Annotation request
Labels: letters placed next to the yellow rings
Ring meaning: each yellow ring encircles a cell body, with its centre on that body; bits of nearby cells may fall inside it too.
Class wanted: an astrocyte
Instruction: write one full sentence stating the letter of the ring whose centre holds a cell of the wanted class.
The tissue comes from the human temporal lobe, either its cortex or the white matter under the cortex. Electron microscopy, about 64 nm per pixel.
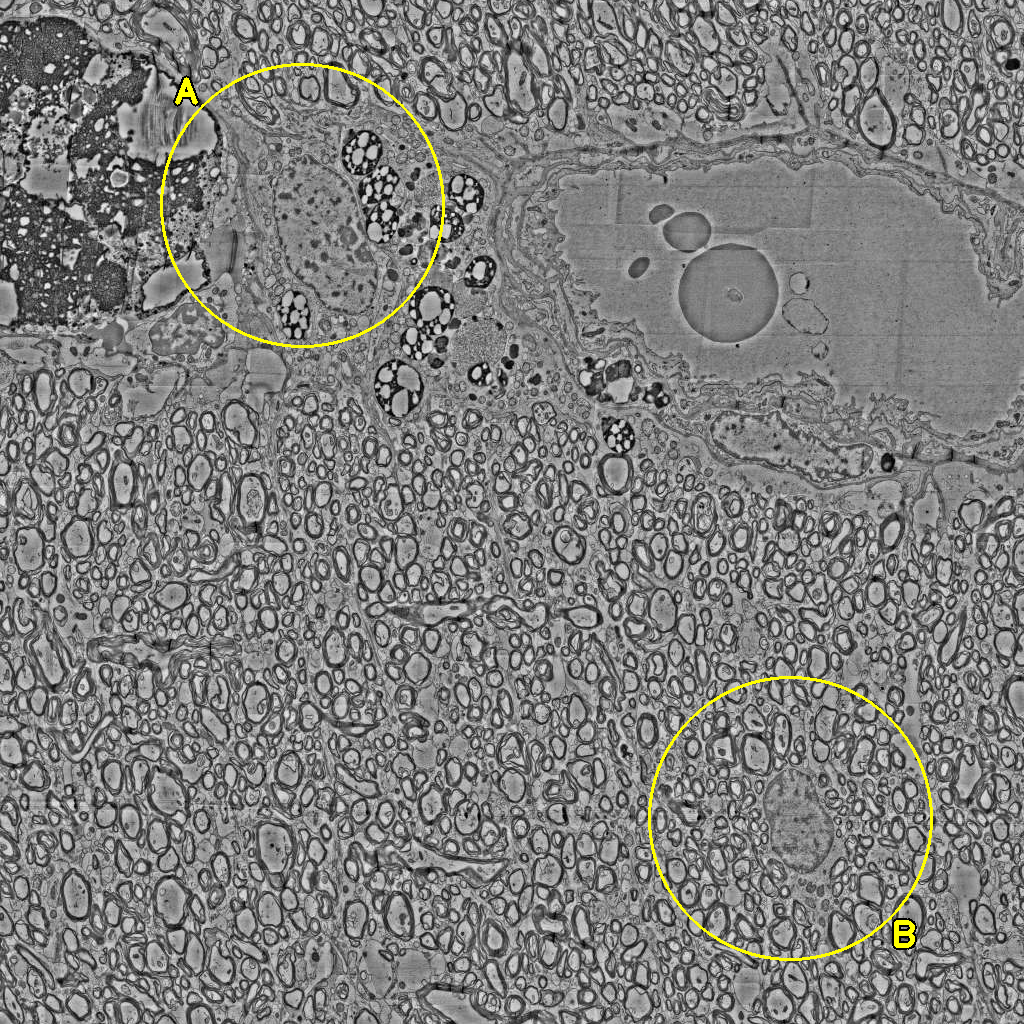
For this annotation, a cell of that kind sits at the centre of ring A.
